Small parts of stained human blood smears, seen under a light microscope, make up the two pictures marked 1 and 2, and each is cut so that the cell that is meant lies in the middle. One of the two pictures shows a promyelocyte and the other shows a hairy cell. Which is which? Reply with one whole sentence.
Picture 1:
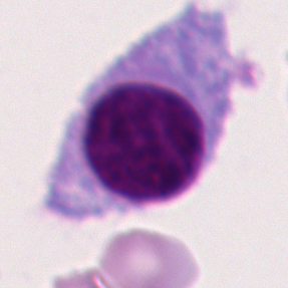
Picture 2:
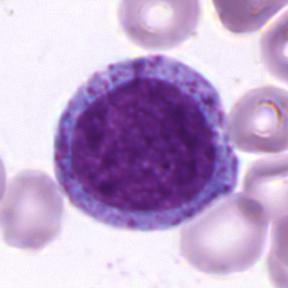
Picture 2 shows a promyelocyte, while picture 1 shows a hairy cell.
